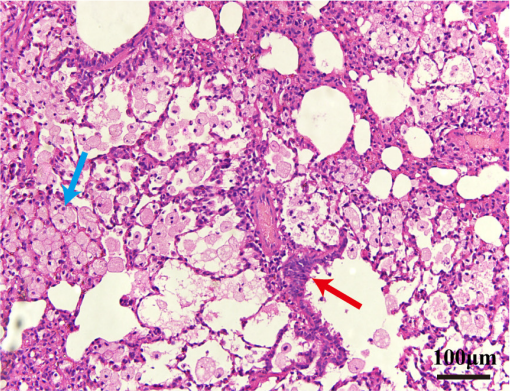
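This is lung tissue in which most alveolar spaces are filled with large round cells with pale pink, foamy cytoplasm and small round dark nuclei. In places small cells with dense dark purple nuclei gather in compact clusters. The foamy cells filling the alveoli are dust cells, and the dark clusters are inflammatory cells.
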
